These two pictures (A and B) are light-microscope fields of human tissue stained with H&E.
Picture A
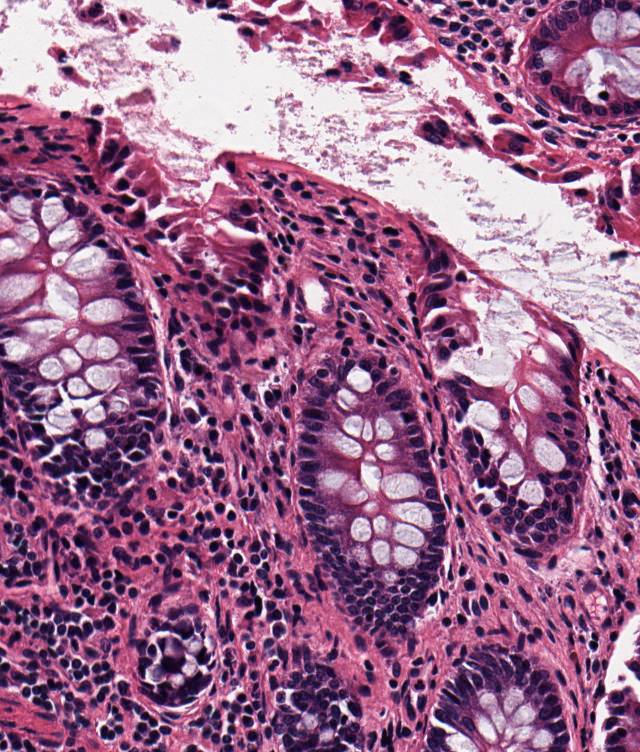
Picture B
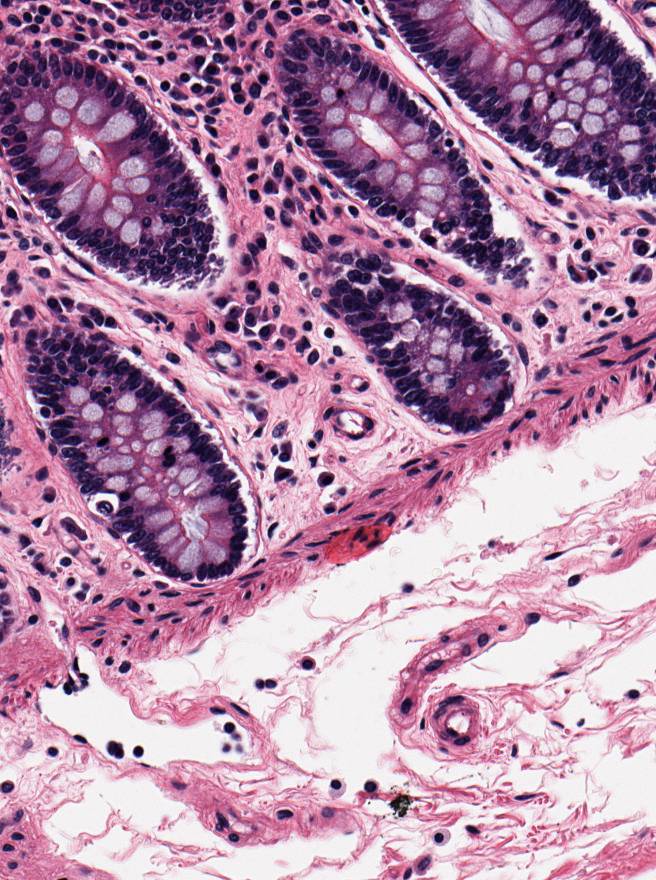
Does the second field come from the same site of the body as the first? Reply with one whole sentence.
Yes; both pictures come from the transverse colon.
